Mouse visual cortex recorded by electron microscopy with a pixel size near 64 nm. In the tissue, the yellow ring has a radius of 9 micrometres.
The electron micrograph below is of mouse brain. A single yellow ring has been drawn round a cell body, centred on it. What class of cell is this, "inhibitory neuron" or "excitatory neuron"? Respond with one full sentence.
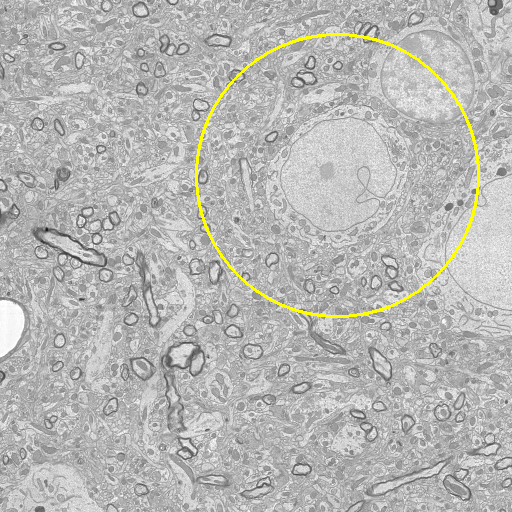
In the micrograph, the cell centred inside the yellow ring is an inhibitory neuron.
